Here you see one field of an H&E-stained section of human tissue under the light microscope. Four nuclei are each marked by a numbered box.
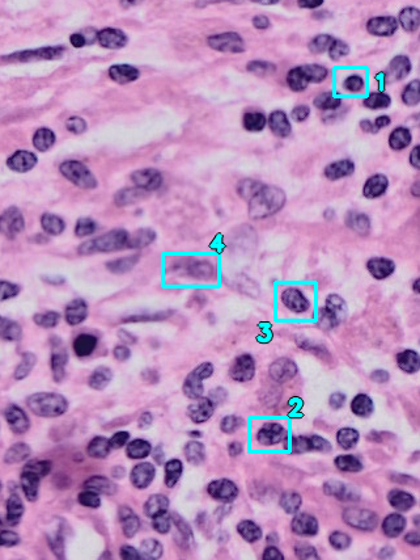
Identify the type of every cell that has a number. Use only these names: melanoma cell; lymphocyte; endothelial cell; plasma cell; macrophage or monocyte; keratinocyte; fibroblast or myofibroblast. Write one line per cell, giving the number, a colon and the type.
1: lymphocyte
2: lymphocyte
3: lymphocyte
4: fibroblast or myofibroblast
